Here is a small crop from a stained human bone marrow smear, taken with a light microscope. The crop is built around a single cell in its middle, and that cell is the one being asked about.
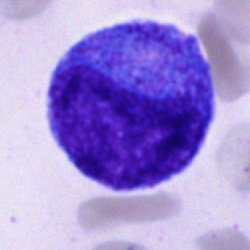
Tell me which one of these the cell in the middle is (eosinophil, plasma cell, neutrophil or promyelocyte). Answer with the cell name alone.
promyelocyte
